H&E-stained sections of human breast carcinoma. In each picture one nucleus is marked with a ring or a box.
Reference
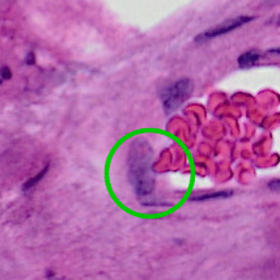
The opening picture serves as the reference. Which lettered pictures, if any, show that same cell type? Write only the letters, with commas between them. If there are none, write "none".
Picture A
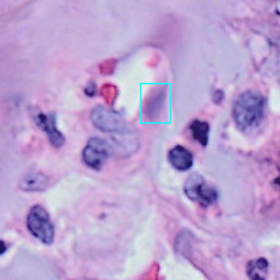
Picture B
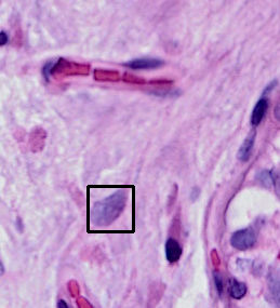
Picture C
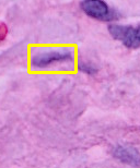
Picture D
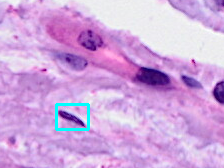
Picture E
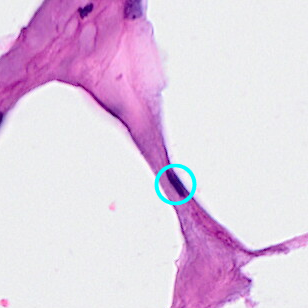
A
